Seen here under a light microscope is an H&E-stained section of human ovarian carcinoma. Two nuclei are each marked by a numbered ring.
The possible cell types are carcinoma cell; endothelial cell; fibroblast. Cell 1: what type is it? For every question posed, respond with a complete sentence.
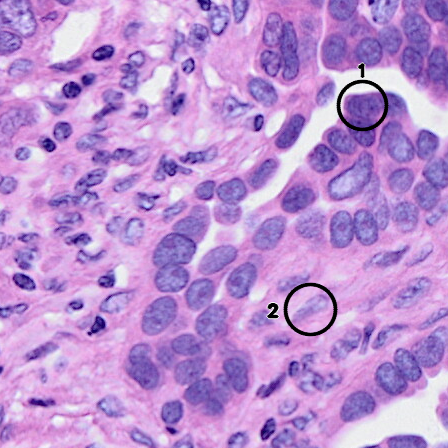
The cell bearing label 1 corresponds to a carcinoma cell.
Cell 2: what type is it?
The numeral 2 marks a fibroblast in this section.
